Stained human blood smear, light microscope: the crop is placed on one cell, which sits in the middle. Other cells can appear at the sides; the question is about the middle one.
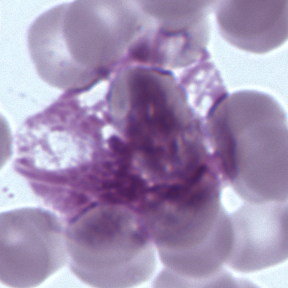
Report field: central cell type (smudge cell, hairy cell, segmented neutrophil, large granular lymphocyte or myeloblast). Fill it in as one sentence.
By classification, the middle cell of this crop is a smudge cell.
